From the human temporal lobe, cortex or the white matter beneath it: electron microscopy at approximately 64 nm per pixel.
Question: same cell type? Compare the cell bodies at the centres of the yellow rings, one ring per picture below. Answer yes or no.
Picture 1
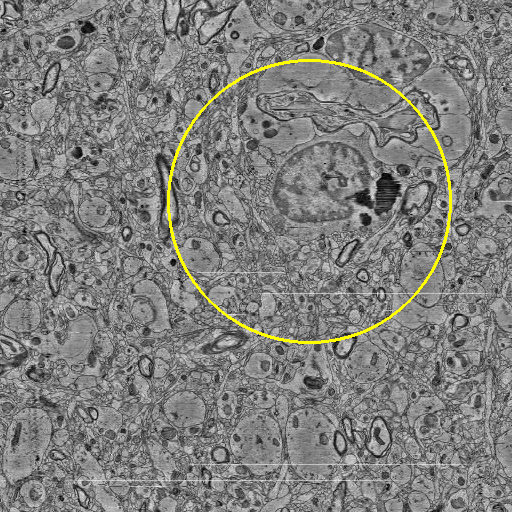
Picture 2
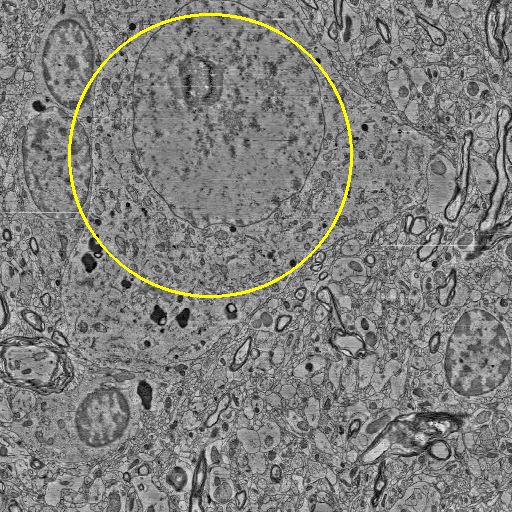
no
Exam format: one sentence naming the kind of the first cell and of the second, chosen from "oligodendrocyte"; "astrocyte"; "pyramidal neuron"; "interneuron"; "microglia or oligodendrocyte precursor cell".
The first picture's cell is an oligodendrocyte, and the second picture's cell is a pyramidal neuron.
